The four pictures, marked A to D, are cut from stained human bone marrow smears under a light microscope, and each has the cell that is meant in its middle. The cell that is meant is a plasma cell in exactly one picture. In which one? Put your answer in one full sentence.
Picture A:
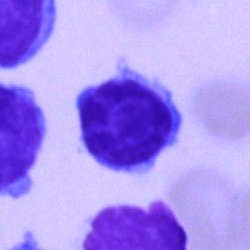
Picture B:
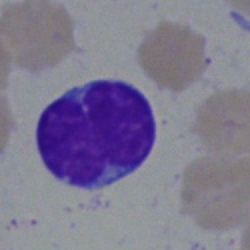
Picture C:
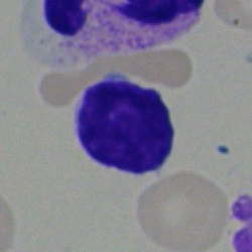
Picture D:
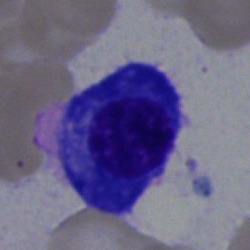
It is picture D that shows the plasma cell.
